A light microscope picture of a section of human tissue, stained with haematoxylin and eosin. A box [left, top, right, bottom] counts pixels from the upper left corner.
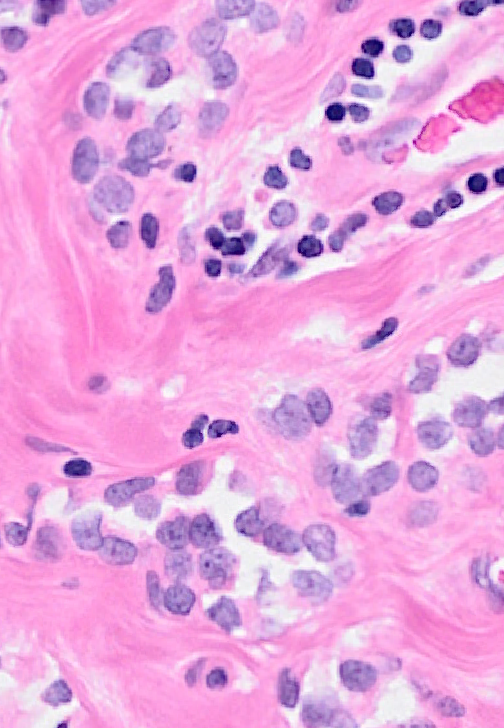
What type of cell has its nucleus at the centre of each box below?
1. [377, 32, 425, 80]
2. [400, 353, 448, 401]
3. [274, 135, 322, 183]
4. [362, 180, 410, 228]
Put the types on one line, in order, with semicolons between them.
lymphocyte; carcinoma cell; lymphocyte; lymphocyte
